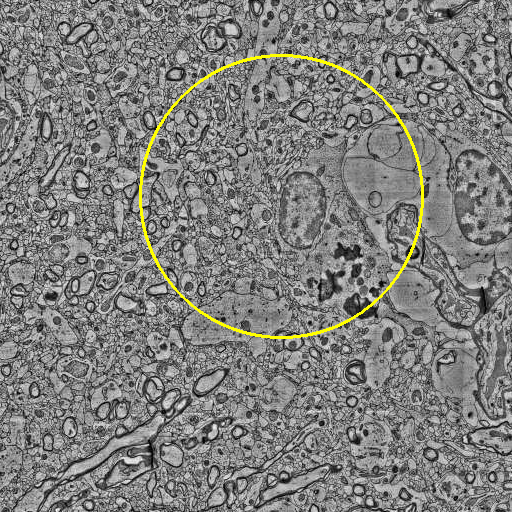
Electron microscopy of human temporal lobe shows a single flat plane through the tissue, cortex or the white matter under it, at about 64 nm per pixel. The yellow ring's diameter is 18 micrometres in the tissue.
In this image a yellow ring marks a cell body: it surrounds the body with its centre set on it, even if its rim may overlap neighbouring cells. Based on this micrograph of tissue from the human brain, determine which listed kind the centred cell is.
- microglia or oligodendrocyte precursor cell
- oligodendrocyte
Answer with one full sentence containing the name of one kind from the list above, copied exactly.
It is an oligodendrocyte whose body the yellow ring encloses at its centre.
